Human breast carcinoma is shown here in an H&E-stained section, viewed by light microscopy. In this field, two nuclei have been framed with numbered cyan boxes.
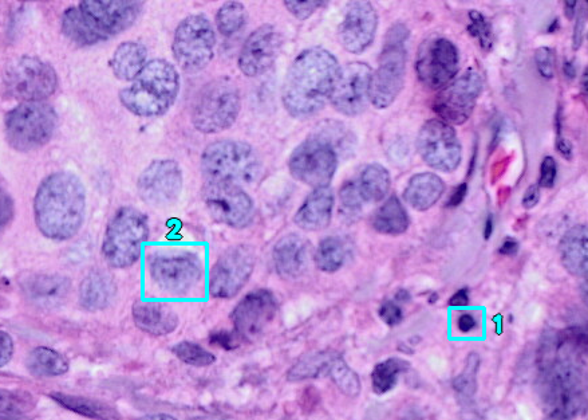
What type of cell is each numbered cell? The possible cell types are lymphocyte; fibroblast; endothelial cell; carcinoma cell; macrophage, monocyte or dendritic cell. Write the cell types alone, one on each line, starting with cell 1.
lymphocyte
carcinoma cell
